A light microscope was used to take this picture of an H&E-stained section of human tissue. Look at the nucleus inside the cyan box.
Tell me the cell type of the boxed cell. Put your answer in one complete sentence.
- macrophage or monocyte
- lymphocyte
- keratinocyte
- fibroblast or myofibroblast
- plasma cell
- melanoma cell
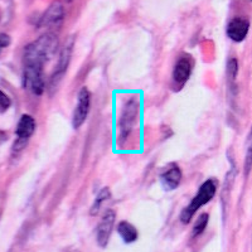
In this section of tissue, the boxed cell is a fibroblast or myofibroblast.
